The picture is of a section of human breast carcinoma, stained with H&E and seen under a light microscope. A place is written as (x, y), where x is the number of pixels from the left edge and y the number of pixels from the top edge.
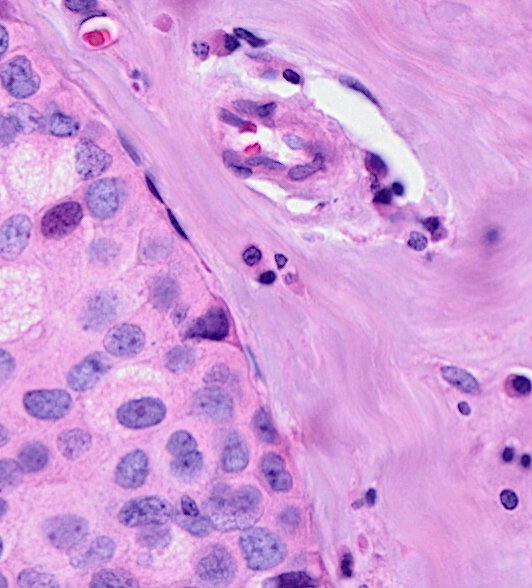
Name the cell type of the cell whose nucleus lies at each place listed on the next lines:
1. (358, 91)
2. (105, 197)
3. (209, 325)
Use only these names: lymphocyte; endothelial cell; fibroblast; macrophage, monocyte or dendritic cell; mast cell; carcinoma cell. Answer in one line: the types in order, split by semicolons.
fibroblast; carcinoma cell; carcinoma cell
